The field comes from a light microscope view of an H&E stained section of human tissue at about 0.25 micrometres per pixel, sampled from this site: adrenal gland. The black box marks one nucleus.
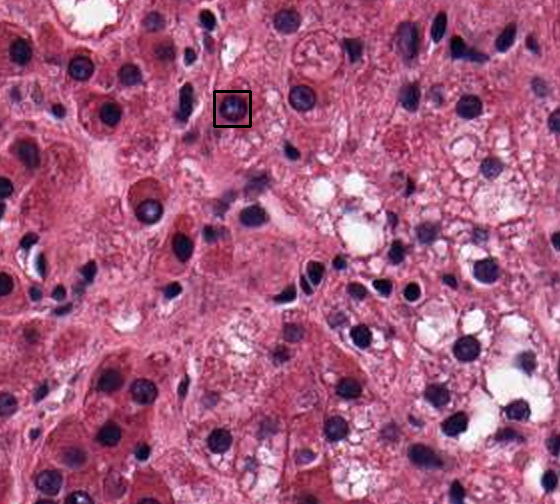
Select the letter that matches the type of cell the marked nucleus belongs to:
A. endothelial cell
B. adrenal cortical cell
B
